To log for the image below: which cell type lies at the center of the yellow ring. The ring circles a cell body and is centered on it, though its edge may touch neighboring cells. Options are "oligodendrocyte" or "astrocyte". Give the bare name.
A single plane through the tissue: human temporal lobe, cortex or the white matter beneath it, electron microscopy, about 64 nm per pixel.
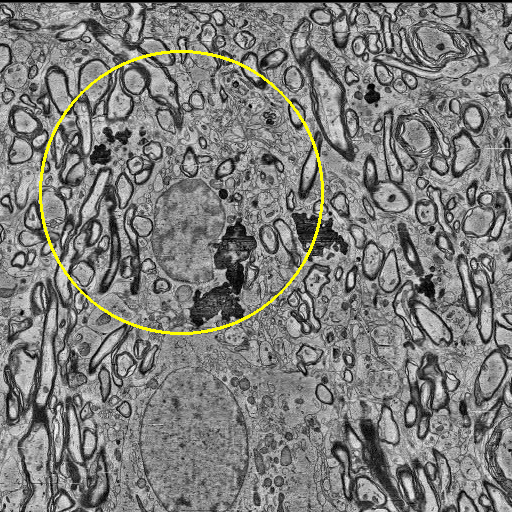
oligodendrocyte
